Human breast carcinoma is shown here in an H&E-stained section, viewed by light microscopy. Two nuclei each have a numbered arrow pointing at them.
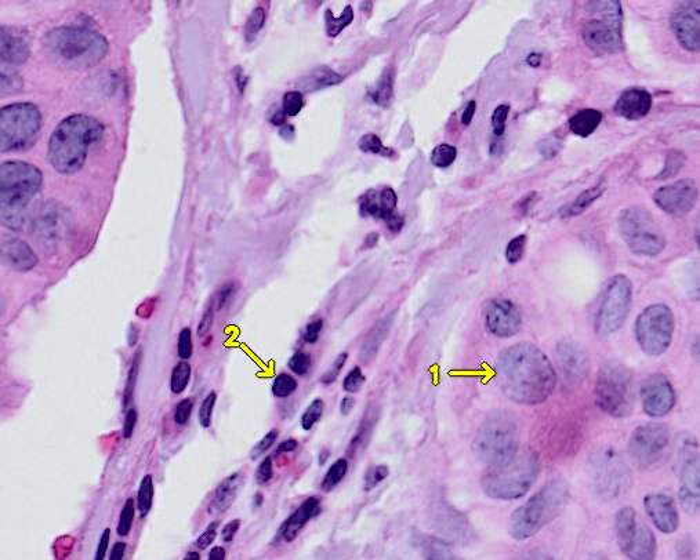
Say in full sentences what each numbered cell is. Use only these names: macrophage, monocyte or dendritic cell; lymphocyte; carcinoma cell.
Cell 1 is a carcinoma cell and cell 2 is a lymphocyte.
